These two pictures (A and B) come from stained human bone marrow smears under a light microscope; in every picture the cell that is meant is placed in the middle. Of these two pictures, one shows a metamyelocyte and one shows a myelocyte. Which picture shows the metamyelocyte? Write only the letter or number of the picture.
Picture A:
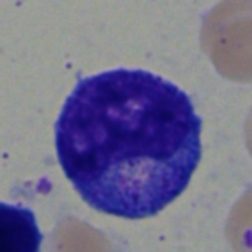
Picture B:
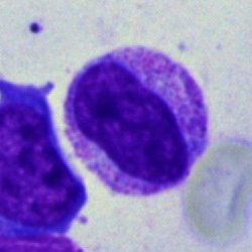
B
